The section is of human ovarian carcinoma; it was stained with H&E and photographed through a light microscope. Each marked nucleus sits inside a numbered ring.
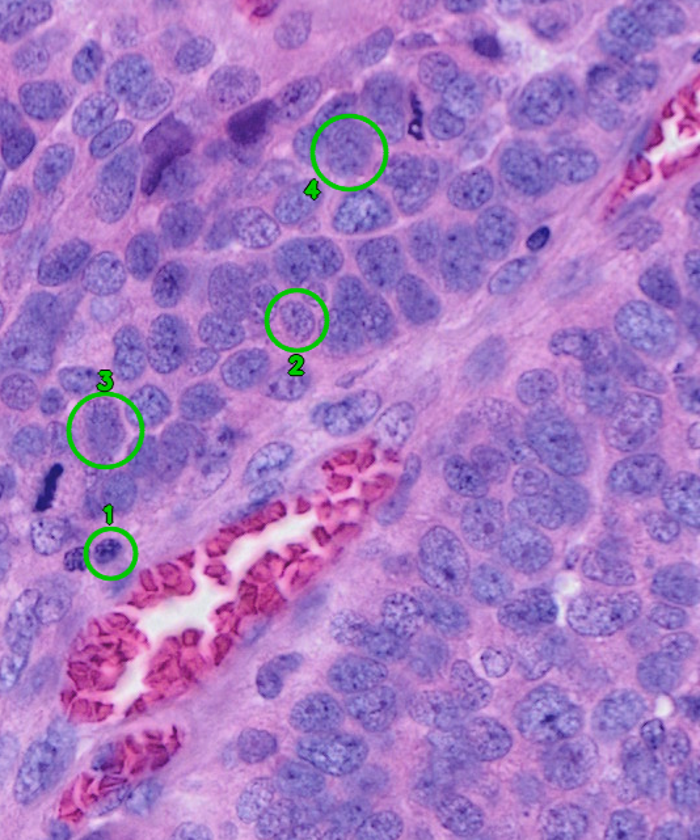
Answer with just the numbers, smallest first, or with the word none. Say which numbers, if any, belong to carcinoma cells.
2, 3, 4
